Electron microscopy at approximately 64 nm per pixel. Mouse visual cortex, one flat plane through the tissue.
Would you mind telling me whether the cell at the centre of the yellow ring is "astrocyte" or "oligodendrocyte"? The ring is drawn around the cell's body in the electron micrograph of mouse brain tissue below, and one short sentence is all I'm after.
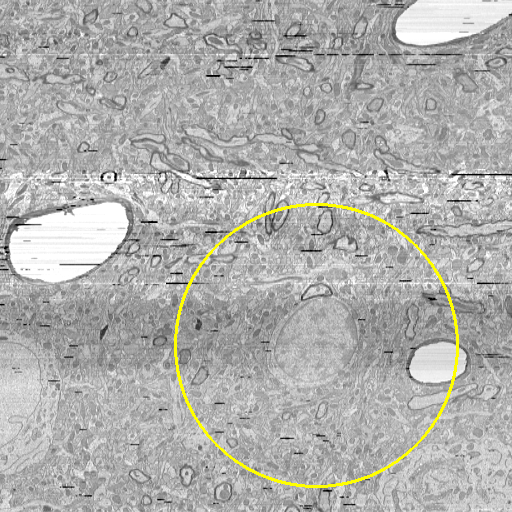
In the centre of the ring lies an oligodendrocyte.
